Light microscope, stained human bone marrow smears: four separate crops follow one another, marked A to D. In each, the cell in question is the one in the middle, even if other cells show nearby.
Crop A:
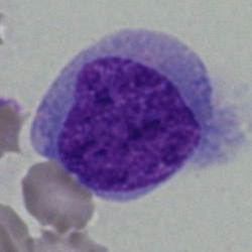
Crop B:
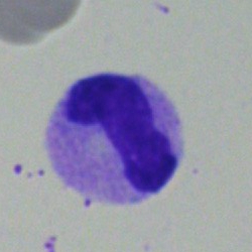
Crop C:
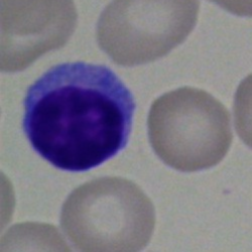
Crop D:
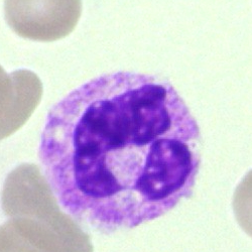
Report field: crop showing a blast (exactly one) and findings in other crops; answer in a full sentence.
Crop A is showing a blast, while crop B is a band neutrophil, crop C is a lymphocyte and crop D is a segmented neutrophil.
